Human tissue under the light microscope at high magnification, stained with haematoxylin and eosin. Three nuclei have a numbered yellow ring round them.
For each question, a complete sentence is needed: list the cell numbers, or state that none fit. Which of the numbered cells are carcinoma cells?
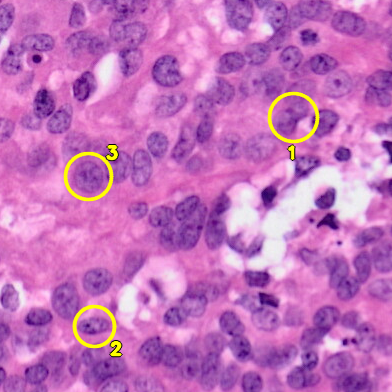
The cells picked out by numbers 1 and 3 are carcinoma cells.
